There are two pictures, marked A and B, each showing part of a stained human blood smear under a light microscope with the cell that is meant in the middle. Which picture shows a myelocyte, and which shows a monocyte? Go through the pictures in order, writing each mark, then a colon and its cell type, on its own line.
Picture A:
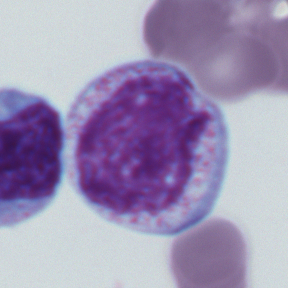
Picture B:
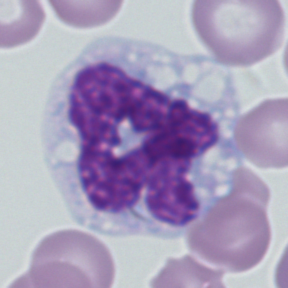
A: myelocyte
B: monocyte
